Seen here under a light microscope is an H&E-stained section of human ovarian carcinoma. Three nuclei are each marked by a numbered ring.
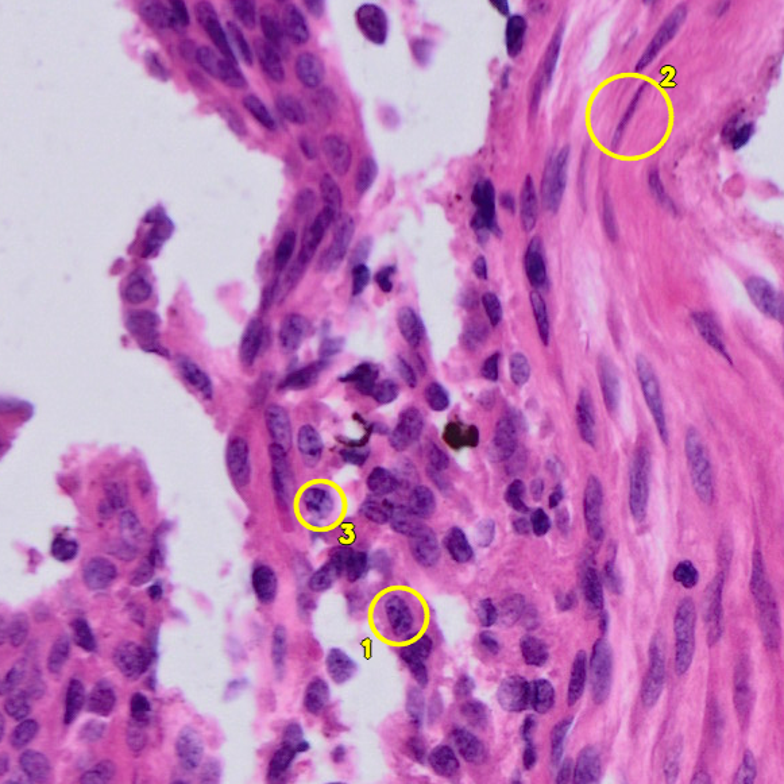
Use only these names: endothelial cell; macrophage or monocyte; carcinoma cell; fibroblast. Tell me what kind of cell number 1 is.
macrophage or monocyte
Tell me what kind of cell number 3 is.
macrophage or monocyte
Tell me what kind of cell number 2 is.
fibroblast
